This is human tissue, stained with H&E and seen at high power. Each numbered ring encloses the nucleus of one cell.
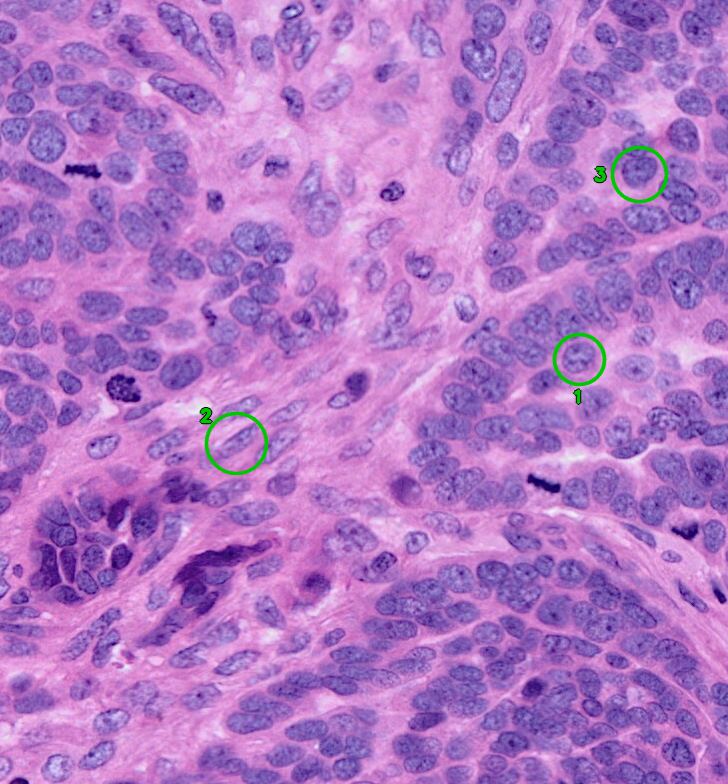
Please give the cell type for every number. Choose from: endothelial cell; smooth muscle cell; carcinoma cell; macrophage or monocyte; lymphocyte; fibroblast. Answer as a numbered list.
1. carcinoma cell
2. fibroblast
3. carcinoma cell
